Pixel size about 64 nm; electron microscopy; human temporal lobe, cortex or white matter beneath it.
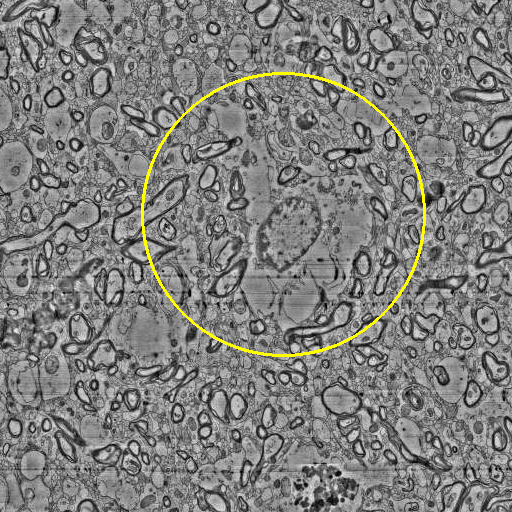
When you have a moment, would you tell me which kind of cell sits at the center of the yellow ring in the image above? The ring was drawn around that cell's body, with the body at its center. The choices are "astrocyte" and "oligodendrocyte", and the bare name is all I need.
astrocyte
